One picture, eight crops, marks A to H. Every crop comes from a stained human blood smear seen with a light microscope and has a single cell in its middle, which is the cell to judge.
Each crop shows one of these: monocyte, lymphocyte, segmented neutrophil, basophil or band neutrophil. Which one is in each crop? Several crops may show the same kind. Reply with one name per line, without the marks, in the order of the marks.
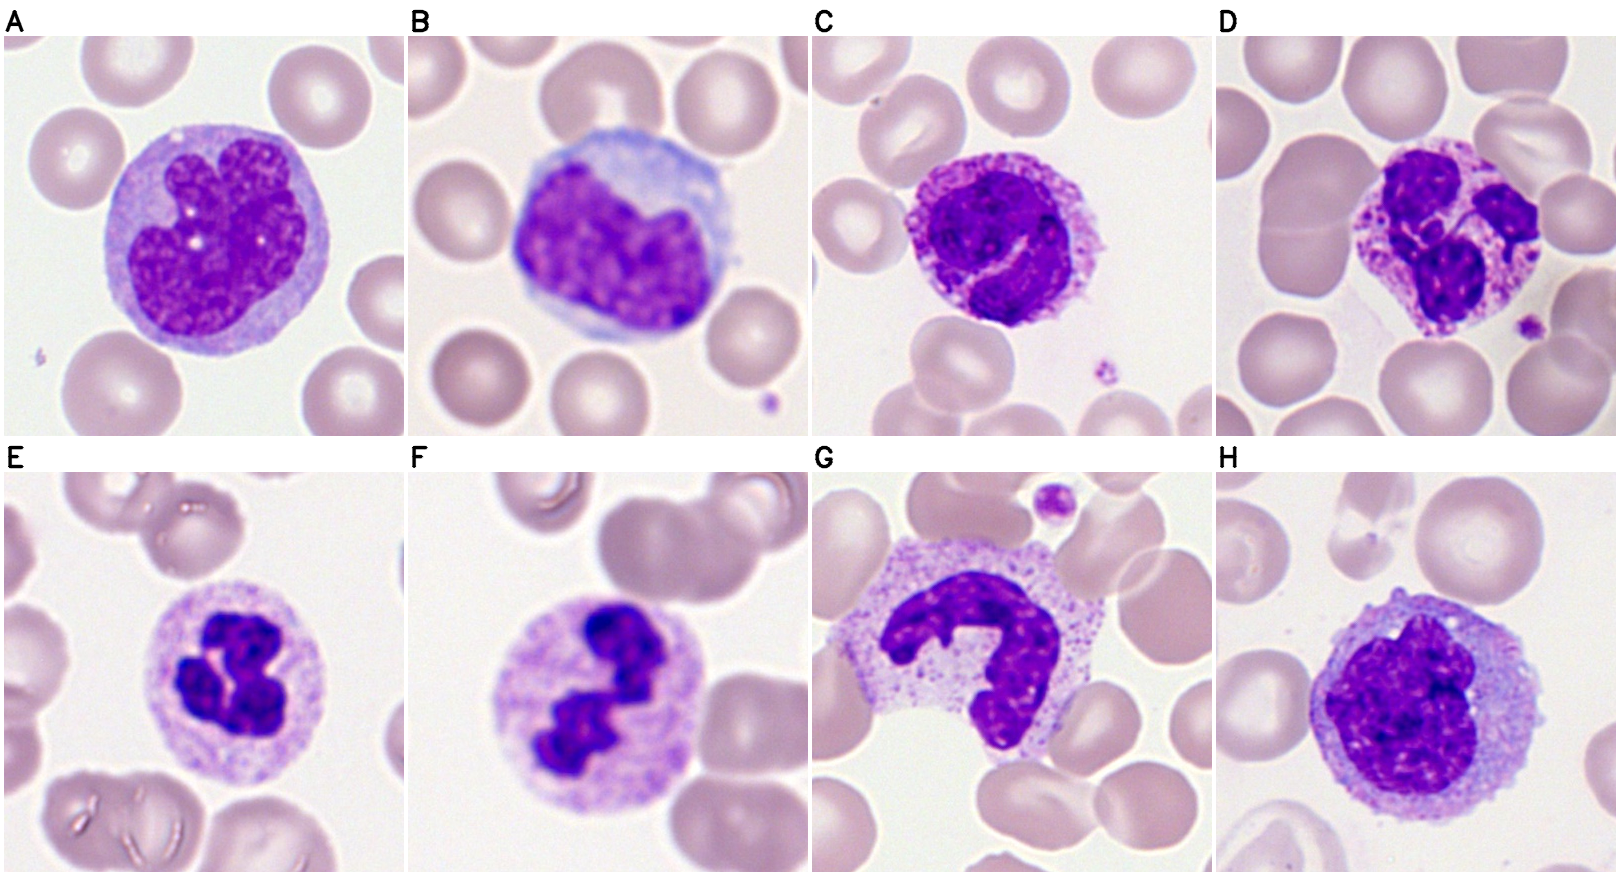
monocyte
monocyte
basophil
basophil
segmented neutrophil
segmented neutrophil
band neutrophil
monocyte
